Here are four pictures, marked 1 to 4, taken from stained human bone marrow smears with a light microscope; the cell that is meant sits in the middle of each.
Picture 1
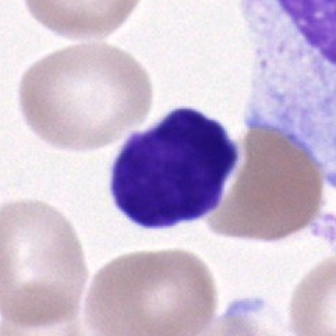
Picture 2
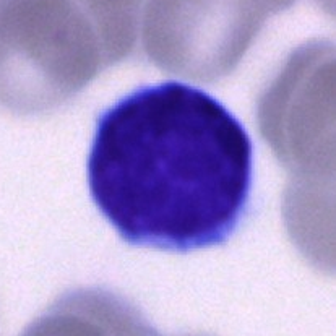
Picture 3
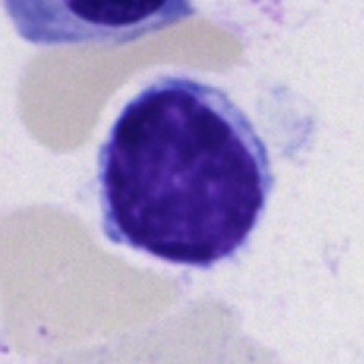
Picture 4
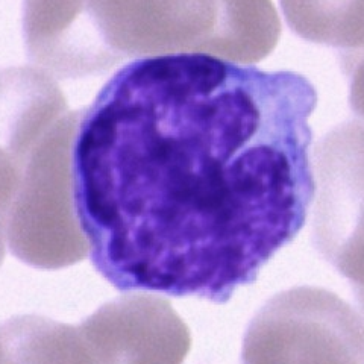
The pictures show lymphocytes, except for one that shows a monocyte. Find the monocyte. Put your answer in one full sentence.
It is picture 4 that shows the monocyte.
